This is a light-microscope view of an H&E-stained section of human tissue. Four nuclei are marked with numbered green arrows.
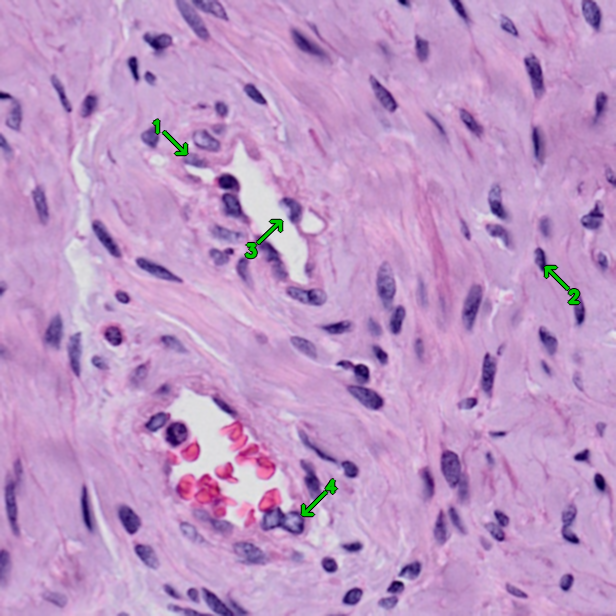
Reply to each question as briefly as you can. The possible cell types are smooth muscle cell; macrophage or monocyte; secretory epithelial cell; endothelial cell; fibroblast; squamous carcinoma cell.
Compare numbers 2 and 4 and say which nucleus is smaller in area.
2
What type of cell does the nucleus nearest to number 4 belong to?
endothelial cell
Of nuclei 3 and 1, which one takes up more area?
3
